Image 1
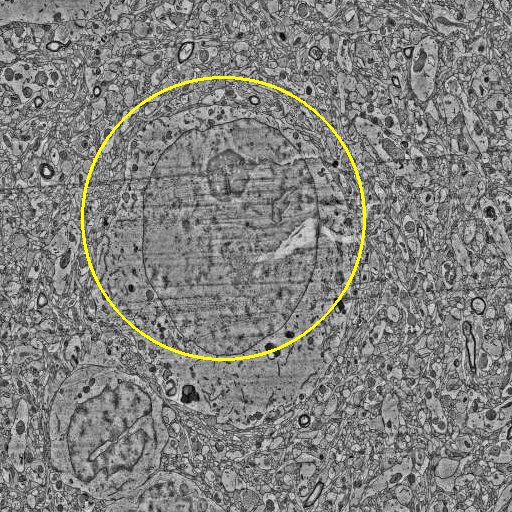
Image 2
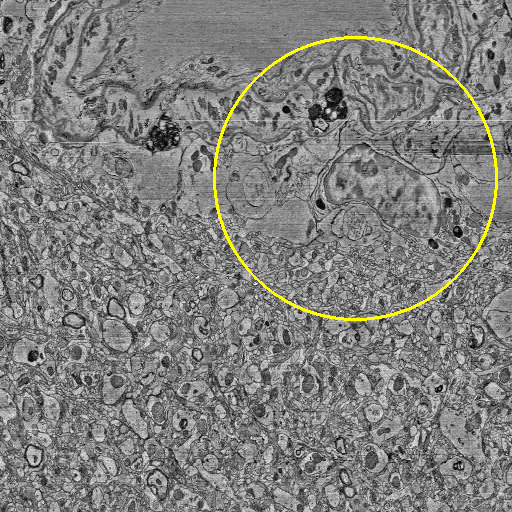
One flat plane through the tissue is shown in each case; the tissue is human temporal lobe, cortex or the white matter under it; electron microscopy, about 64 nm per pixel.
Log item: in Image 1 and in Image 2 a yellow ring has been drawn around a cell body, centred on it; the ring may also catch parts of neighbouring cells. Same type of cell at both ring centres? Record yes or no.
no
